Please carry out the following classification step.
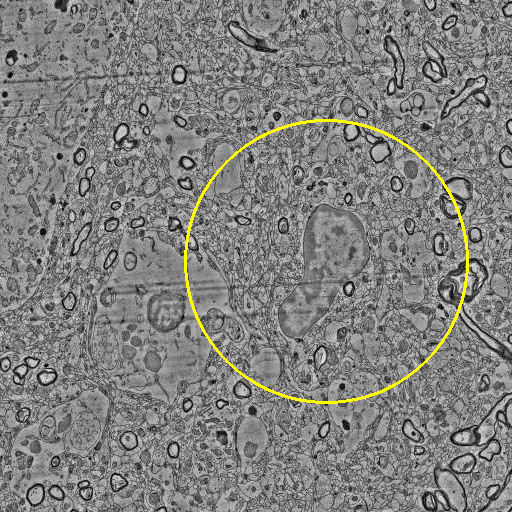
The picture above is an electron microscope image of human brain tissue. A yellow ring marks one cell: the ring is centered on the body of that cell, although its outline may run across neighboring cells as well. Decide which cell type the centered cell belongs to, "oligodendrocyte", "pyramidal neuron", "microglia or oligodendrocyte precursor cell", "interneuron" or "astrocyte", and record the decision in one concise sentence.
The cell centered in the yellow ring is a microglial cell or oligodendrocyte precursor cell.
